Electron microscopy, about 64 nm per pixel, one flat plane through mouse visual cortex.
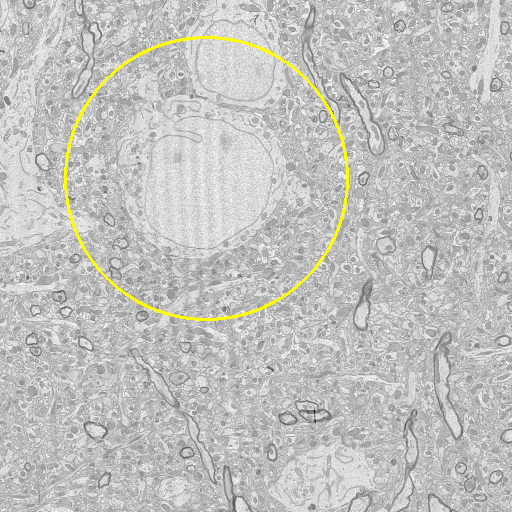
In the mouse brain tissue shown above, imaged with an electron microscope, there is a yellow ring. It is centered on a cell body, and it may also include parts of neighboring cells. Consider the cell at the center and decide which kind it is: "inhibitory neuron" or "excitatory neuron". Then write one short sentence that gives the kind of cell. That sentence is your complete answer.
This centered cell body is that of an excitatory neuron.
